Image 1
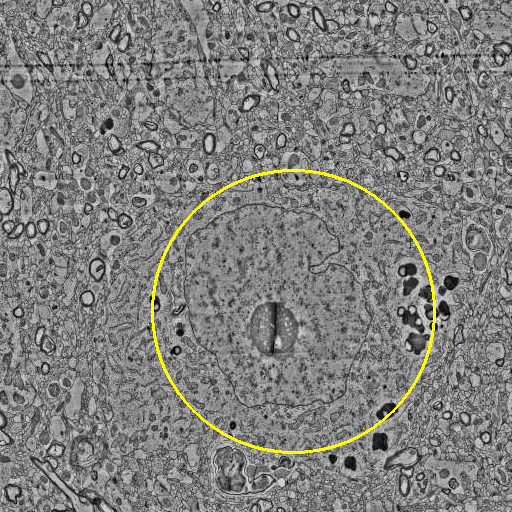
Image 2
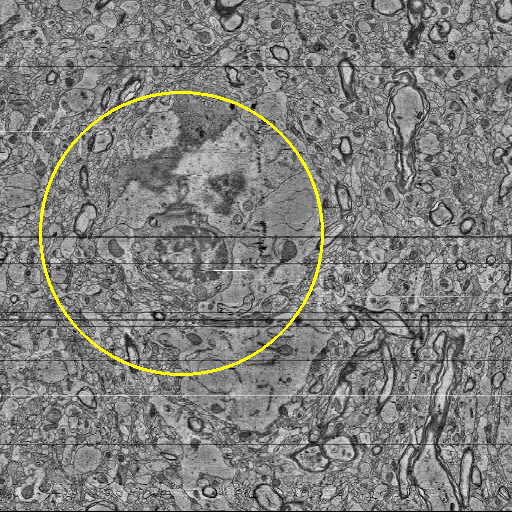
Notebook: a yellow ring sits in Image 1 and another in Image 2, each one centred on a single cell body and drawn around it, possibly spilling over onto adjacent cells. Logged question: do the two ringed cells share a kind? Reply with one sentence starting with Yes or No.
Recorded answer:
No, the centre cells inside the rings of Image 1 and Image 2 are of two kinds.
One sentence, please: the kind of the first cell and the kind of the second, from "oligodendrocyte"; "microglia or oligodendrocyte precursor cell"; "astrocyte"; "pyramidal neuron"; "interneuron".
The ring in the first picture surrounds a pyramidal neuron, and the ring in the second surrounds an oligodendrocyte.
